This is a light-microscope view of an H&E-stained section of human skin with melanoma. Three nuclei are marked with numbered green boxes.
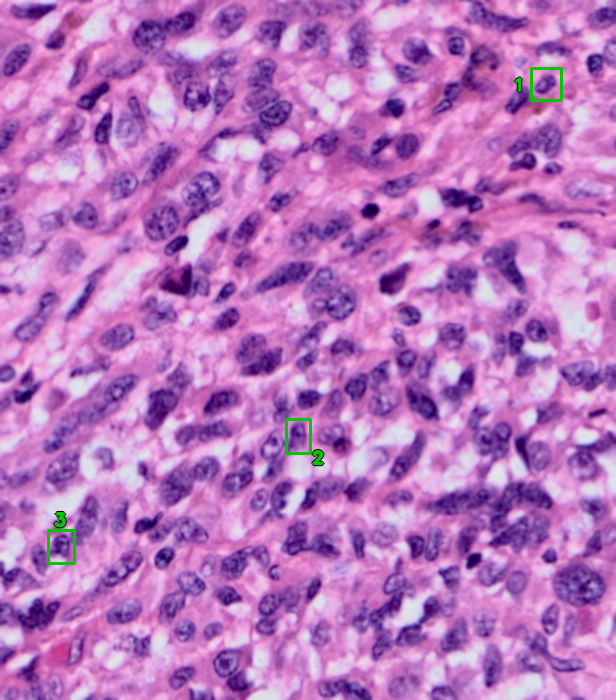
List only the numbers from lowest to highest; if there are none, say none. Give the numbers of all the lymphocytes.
1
